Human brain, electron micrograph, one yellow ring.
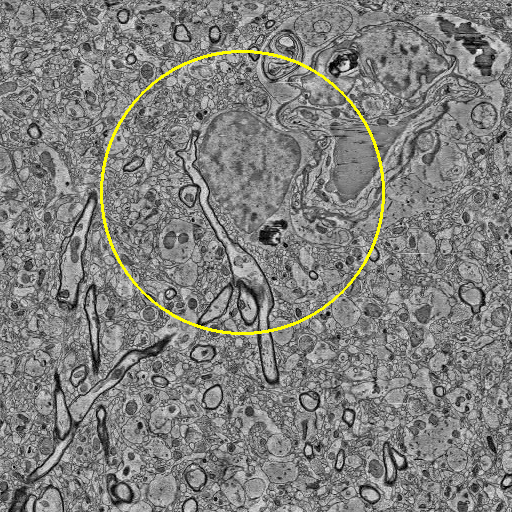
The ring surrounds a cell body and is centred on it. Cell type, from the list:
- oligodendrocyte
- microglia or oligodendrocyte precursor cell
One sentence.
The yellow ring circles an oligodendrocyte.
